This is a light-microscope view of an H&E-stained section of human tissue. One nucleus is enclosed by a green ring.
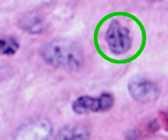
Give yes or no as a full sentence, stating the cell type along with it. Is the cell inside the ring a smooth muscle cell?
No, what the cell inside the ring represents is a macrophage or monocyte rather than a smooth muscle cell.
